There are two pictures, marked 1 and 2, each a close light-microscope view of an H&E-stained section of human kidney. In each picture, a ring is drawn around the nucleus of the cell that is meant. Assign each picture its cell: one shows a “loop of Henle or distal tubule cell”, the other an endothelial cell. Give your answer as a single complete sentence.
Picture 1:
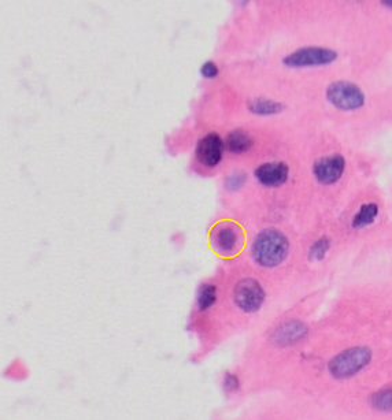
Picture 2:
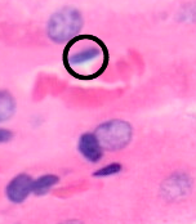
In picture 1 the cell is a “loop of Henle or distal tubule cell”; in picture 2, an endothelial cell.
